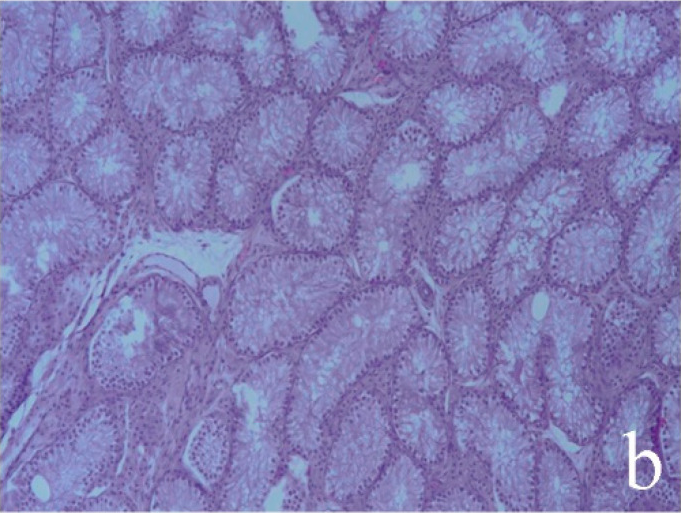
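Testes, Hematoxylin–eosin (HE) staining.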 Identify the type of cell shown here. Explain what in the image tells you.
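The tubules are lined by a single population of tall cells with pale, finely vacuolated cytoplasm reaching toward the centre. Nuclei of the lining cells sit mostly near the tubule base.
Answer: Sertoli cells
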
